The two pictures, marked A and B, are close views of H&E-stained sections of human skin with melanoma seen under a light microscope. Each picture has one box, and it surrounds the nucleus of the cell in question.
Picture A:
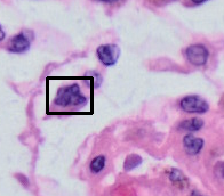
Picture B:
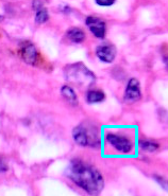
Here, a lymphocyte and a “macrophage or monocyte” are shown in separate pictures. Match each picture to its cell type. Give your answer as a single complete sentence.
Picture A shows a “macrophage or monocyte” and picture B shows a lymphocyte.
